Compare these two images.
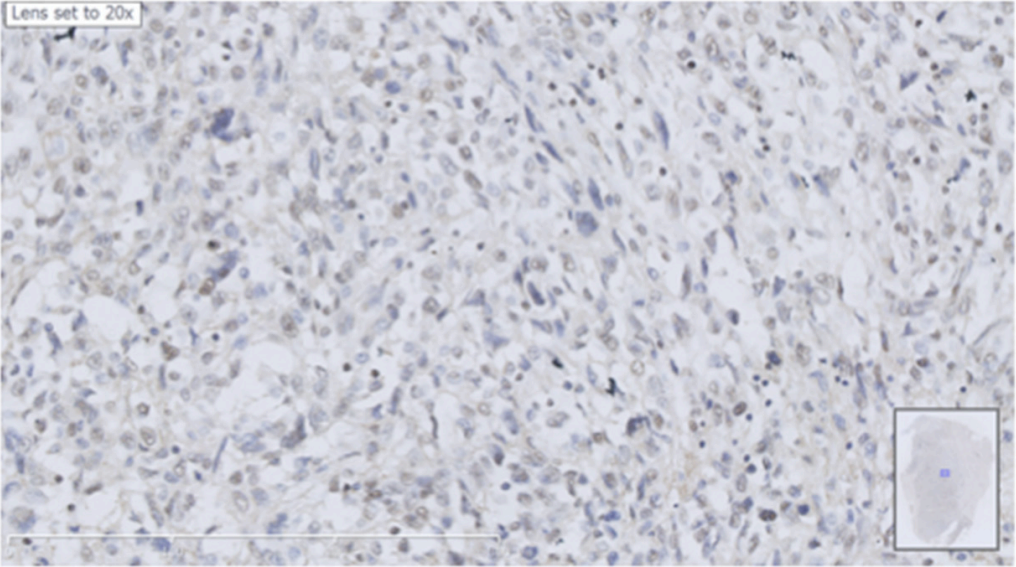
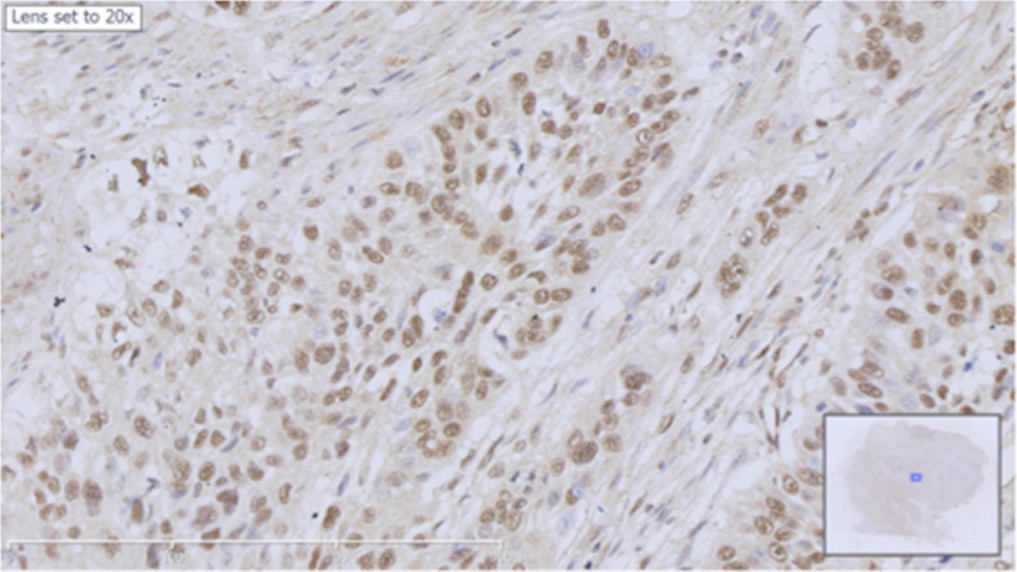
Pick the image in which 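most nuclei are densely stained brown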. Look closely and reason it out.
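Second image: clusters of cells with nuclei stained medium to dark brown throughout the field. First image: most nuclei are blue-grey with only faint or scattered brown tint.
Answer: the second image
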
